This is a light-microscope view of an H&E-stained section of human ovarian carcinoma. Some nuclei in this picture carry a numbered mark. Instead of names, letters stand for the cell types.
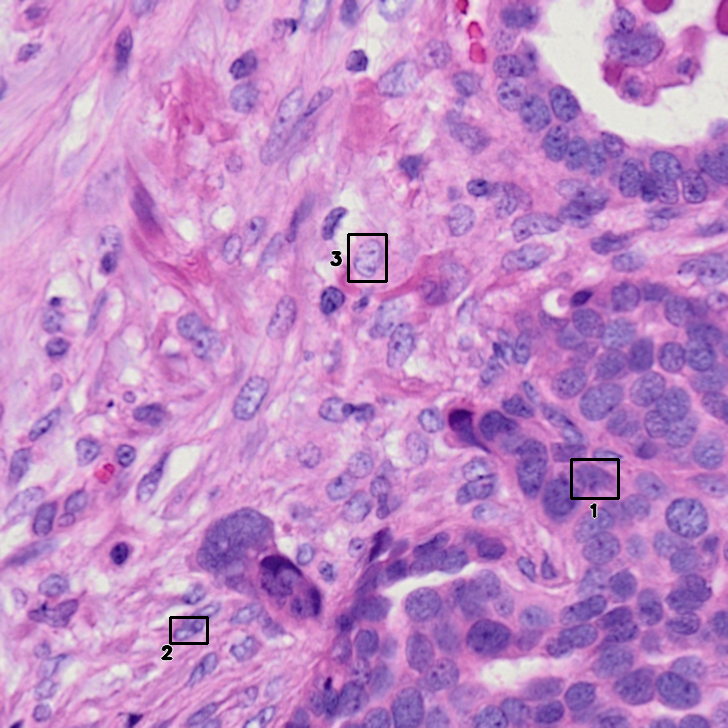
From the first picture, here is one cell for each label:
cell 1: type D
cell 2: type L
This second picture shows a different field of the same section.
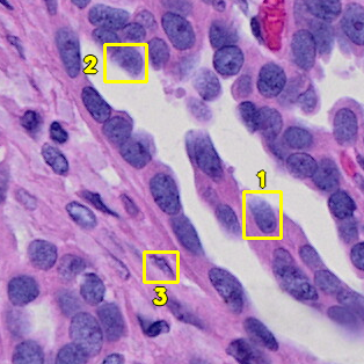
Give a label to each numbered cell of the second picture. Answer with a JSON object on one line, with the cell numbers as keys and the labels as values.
{"1": "type D", "2": "type D", "3": "type L"}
